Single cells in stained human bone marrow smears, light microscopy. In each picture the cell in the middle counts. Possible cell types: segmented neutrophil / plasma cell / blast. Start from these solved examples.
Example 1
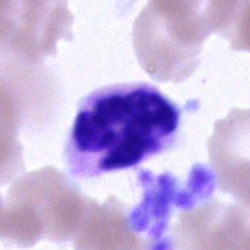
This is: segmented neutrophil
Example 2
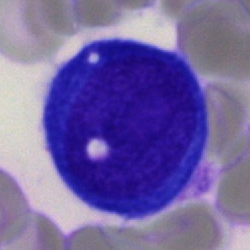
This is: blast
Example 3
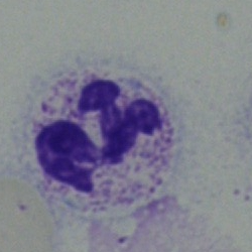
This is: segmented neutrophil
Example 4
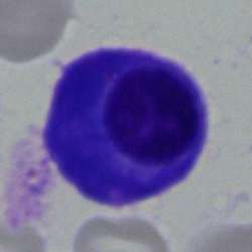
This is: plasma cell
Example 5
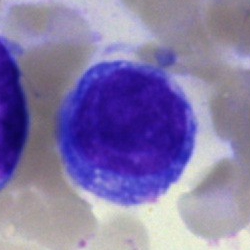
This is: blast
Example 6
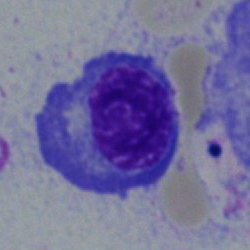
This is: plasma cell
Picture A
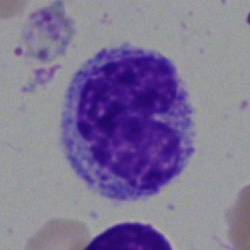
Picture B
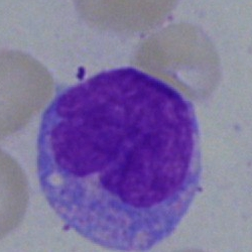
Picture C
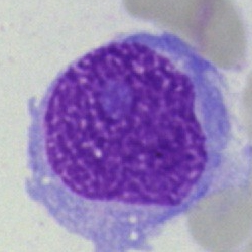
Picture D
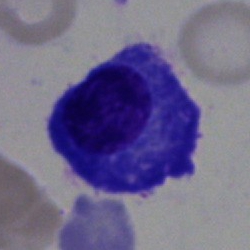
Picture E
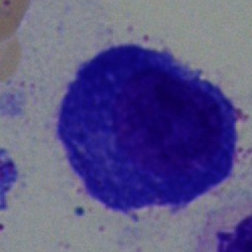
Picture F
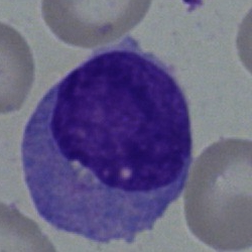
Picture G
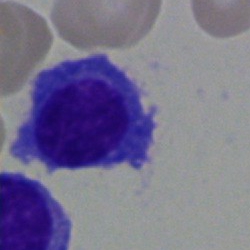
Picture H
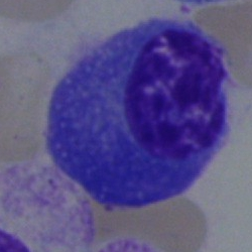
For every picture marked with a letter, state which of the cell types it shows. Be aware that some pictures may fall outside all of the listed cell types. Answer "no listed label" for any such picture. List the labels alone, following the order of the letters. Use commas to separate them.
no listed label, no listed label, blast, plasma cell, plasma cell, no listed label, plasma cell, plasma cell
